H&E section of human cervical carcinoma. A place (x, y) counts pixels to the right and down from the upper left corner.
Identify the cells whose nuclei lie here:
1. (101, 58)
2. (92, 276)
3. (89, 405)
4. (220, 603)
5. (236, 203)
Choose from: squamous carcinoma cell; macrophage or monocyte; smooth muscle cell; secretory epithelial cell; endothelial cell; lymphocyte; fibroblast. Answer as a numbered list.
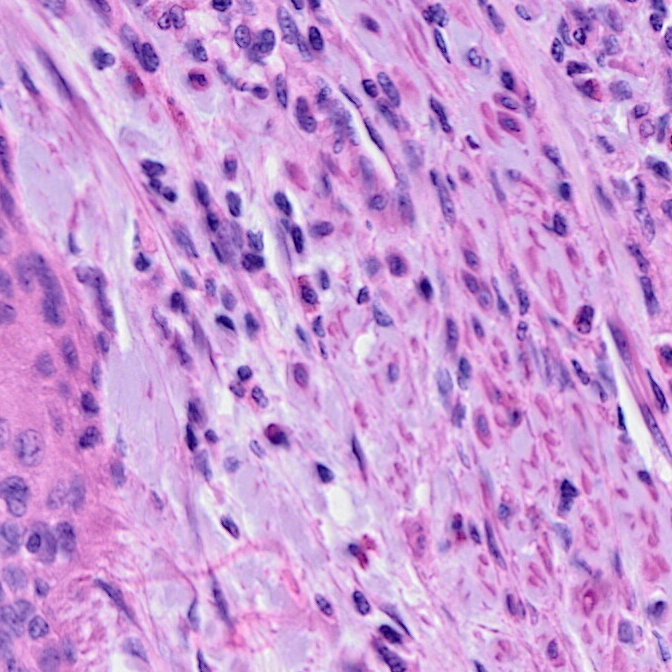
1. lymphocyte
2. macrophage or monocyte
3. squamous carcinoma cell
4. fibroblast
5. lymphocyte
